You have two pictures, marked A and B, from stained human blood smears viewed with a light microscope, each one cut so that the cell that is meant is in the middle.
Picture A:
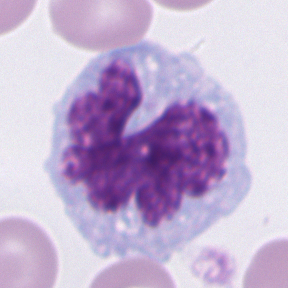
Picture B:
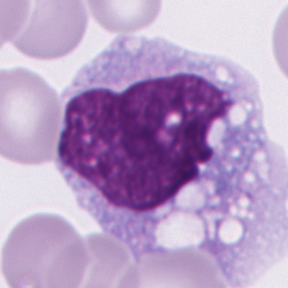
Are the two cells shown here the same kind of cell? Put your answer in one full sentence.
Yes, both cells are monocytes.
